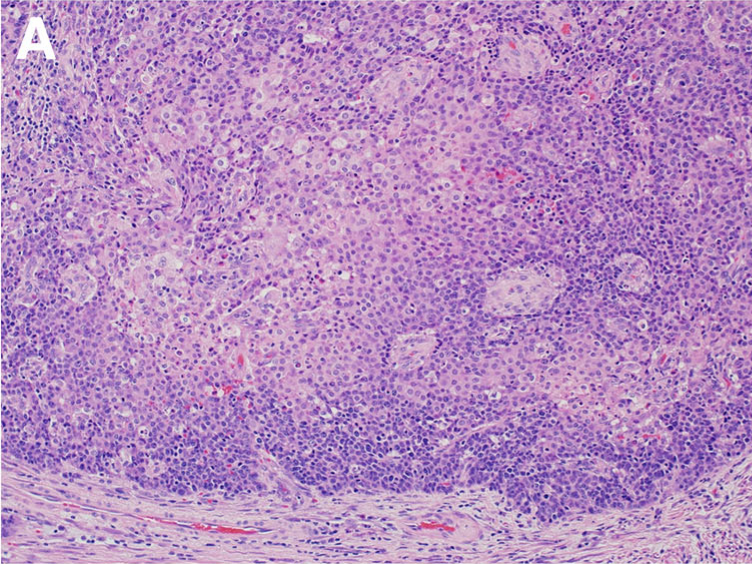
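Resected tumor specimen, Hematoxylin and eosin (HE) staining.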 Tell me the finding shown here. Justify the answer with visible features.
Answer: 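Sheet-like structure with solid nests. Densely packed tumor cells form a large solid mass with no glands or lumina. Paler pink nests of cells lie within darker, more cellular sheets. A band of fibrous stroma borders the lower edge of the mass.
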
